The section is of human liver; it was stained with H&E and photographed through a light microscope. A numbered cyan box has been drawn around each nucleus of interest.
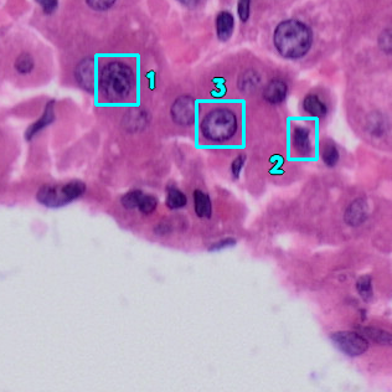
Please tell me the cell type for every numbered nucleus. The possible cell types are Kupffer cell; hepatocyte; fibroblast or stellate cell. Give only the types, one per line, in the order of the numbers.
hepatocyte
fibroblast or stellate cell
hepatocyte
